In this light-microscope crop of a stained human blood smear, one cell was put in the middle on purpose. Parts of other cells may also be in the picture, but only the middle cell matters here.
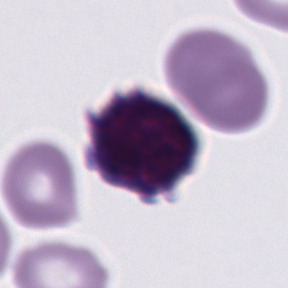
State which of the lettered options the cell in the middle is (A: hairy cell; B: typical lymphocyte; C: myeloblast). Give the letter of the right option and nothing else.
C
